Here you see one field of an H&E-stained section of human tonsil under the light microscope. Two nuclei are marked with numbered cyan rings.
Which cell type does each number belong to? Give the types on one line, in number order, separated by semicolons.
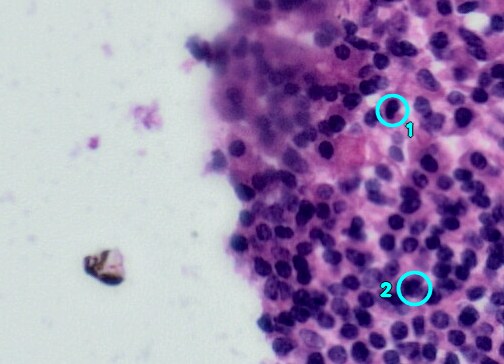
plasma cell; small lymphocyte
